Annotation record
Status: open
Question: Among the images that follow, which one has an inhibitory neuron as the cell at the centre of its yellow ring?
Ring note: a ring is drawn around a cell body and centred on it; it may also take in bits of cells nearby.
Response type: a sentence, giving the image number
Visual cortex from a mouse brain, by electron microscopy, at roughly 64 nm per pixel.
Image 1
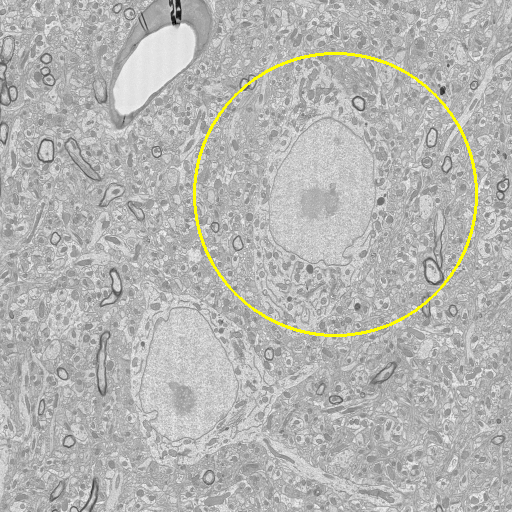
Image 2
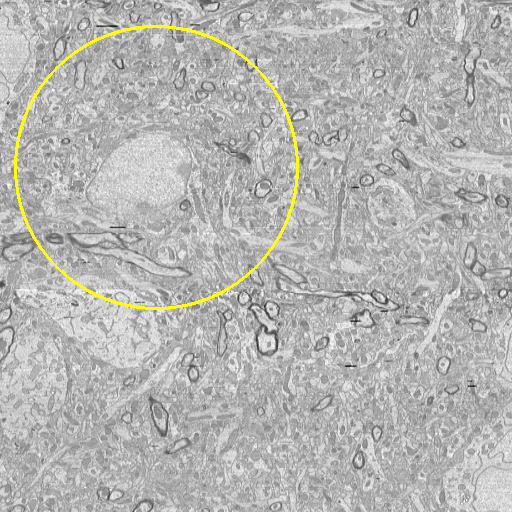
Image 1 shows it at the centre of its ring.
